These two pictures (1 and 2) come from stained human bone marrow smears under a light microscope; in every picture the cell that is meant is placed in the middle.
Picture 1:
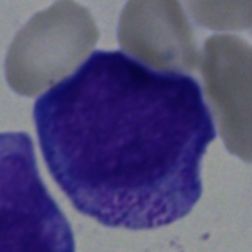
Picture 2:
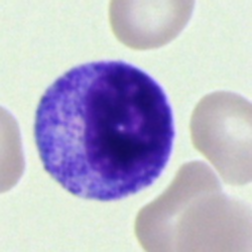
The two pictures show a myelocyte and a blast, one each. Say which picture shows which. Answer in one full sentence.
Picture 2 shows a myelocyte, while picture 1 shows a blast.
